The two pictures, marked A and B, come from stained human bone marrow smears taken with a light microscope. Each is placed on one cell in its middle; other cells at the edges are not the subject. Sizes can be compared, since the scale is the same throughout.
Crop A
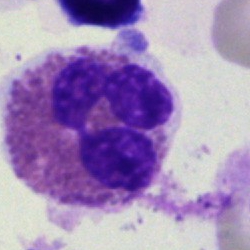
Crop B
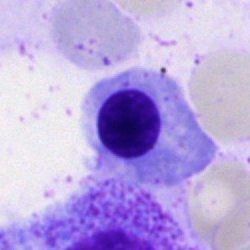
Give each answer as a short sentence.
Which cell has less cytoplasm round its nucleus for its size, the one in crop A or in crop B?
It is the cell in crop A that is filled more by its nucleus.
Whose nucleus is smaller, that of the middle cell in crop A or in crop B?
It is the nucleus in crop B; the one in crop A has about 3 times its area.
